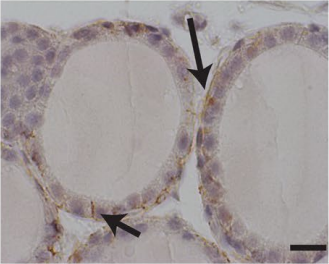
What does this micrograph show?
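This section of thyroid shows large round follicles filled with pale, homogeneous colloid, each lined by a single layer of cuboidal follicular epithelial cells. The cells have round blue-purple nuclei and pale cytoplasm. Thin brown staining runs along the outer, basal edges of the epithelium and between neighbouring cells, while the side facing the colloid stays unstained. Narrow strips of connective tissue separate adjacent follicles.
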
